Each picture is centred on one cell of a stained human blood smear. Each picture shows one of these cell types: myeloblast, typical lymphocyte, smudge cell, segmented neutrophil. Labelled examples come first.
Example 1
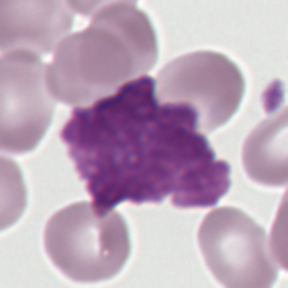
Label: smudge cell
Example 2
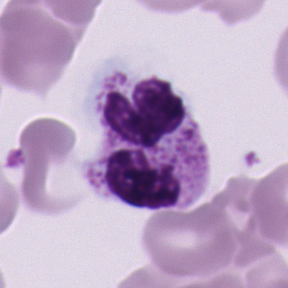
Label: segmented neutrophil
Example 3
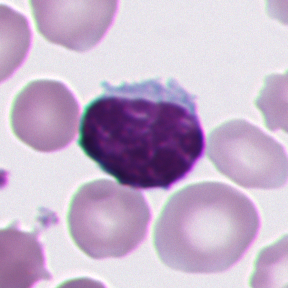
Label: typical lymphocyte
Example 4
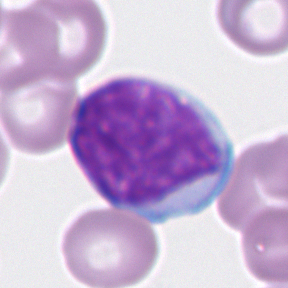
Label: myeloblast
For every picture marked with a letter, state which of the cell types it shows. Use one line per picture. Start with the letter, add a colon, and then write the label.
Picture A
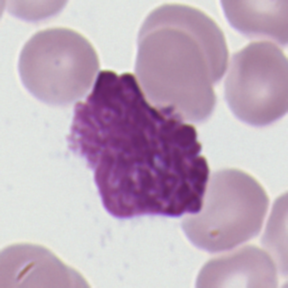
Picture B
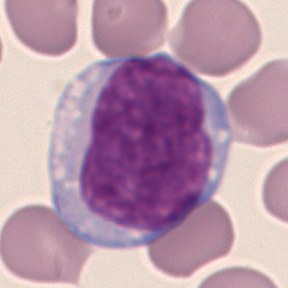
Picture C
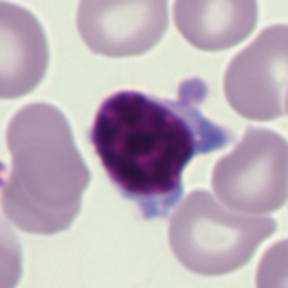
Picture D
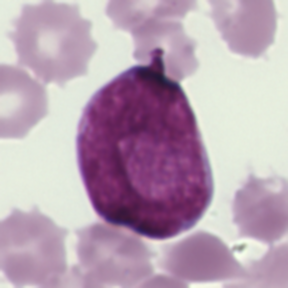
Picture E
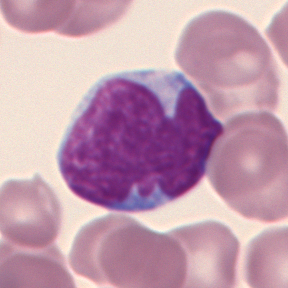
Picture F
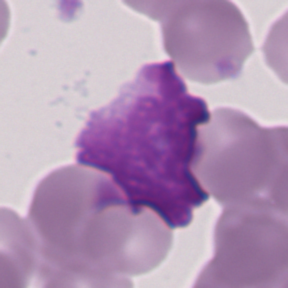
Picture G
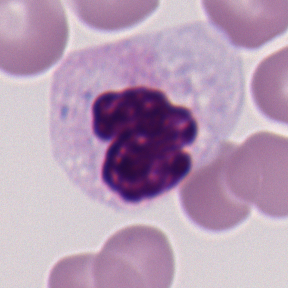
A: smudge cell
B: myeloblast
C: typical lymphocyte
D: myeloblast
E: myeloblast
F: smudge cell
G: segmented neutrophil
